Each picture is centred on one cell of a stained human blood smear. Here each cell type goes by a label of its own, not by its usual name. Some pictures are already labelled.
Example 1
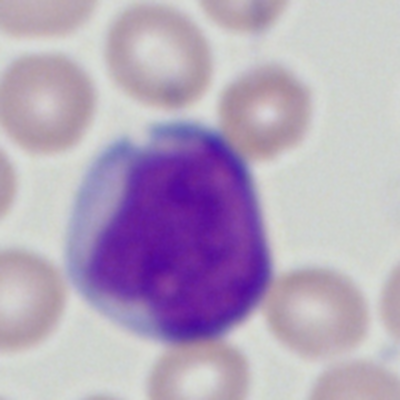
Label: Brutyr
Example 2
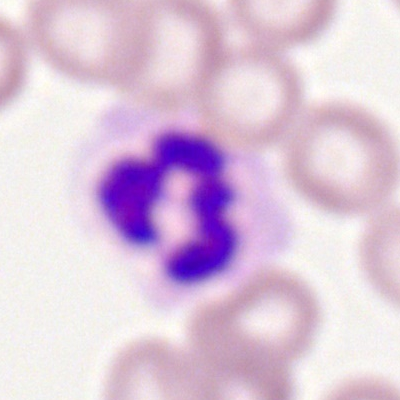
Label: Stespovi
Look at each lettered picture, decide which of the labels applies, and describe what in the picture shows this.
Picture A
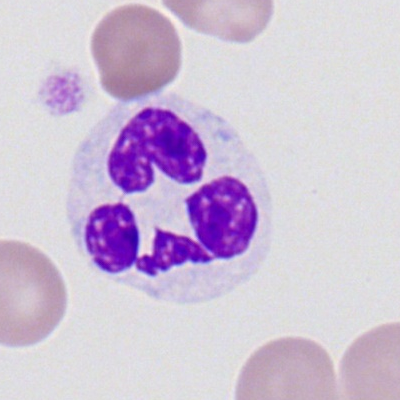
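Stespovi. Reason: The nucleus is divided into several separate lobes arranged around a pale central space.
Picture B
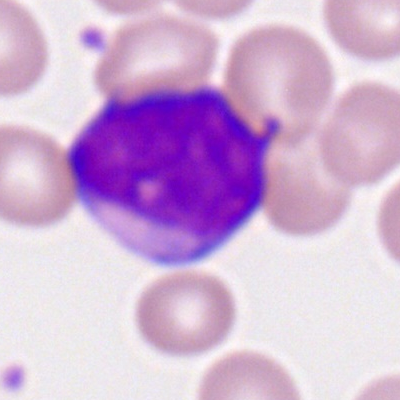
Brutyr. Reason: The nucleus is a single unlobed mass that fills most of the cell.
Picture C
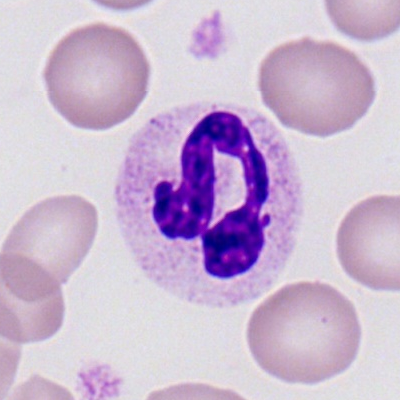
Stespovi. Reason: The nucleus is a single curved band bent back on itself into a loop.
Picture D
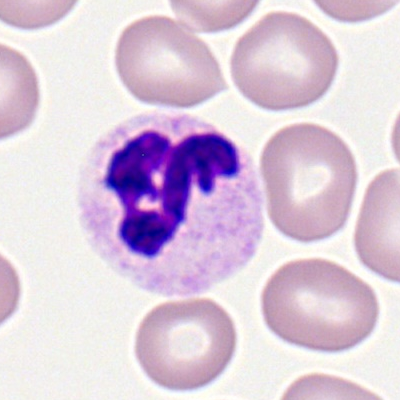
Stespovi. Reason: The nucleus is divided into several lobes.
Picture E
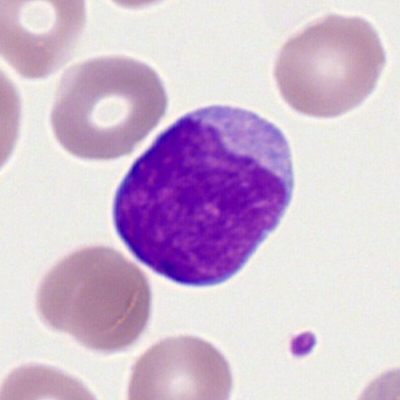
Brutyr. Reason: The nucleus fills most of the cell.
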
